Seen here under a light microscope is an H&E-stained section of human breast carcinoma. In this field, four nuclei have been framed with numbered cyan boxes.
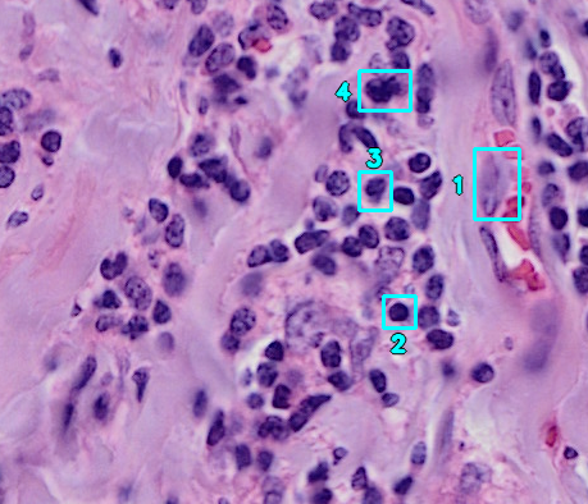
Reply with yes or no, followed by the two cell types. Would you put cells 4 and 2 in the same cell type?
Yes, both are lymphocytes.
